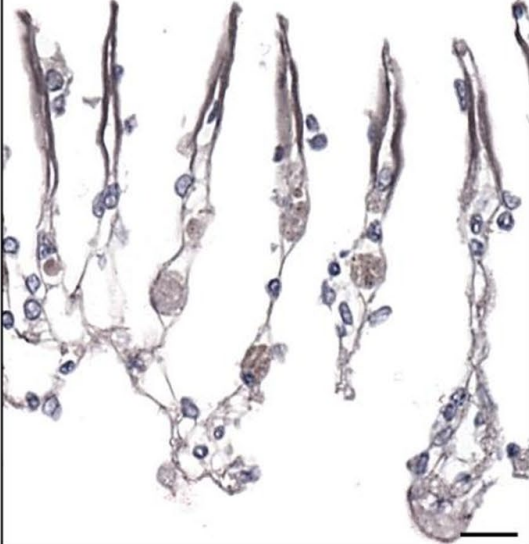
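This is gill tissue in which the epithelium has broken down, showing necrotic areas. Slender, dark grey, elongated structures rise toward the top. Below them the tissue is only a loose network of thin strands with wide empty spaces between. Scattered small cells with round to oval purple nuclei cling to the strands, and a few larger rounded cells with granular, brownish contents sit within the disrupted tissue.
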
